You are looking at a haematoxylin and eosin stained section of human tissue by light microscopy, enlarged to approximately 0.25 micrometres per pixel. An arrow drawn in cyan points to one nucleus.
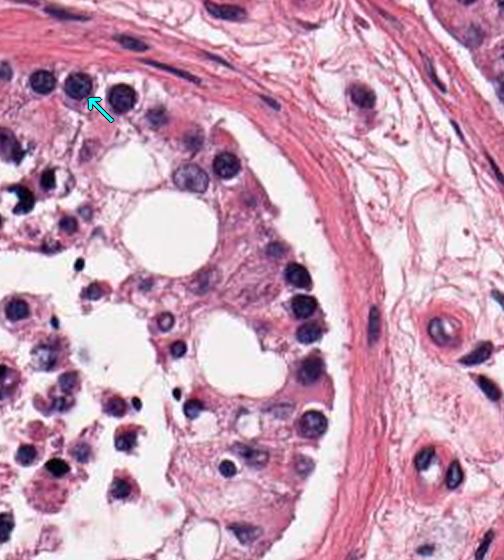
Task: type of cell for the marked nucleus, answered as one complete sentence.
Here the marked nucleus is part of a spermatogonium.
